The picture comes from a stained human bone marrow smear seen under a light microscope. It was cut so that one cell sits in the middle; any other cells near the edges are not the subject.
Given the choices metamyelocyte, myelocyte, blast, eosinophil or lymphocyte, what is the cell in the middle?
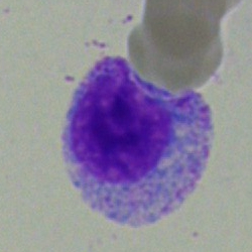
myelocyte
